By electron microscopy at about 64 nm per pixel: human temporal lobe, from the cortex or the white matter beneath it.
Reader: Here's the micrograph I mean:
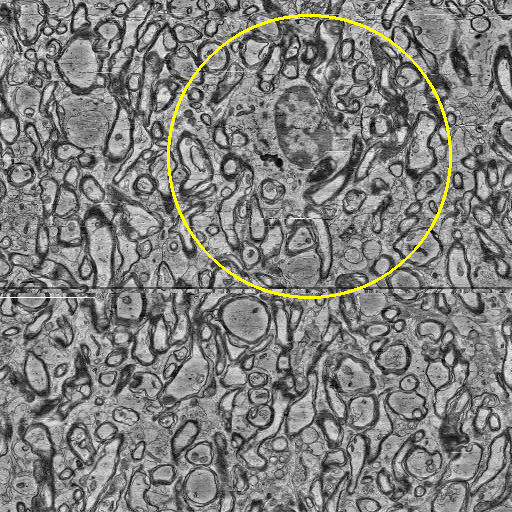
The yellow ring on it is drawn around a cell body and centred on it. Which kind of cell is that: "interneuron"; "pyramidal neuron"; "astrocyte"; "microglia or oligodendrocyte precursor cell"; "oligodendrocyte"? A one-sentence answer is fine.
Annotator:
The ring is centred on a microglial cell or oligodendrocyte precursor cell.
